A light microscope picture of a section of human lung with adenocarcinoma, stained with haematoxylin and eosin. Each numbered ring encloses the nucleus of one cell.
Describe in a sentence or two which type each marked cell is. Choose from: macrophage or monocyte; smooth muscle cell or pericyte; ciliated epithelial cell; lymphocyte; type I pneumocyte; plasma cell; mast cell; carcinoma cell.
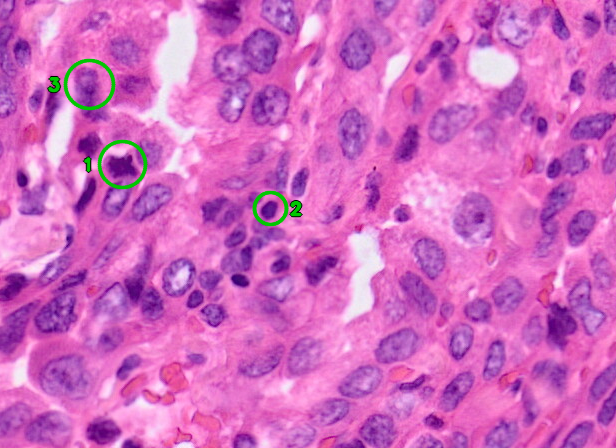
Cells 1 and 3 are carcinoma cells. Cell 2 is a lymphocyte.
